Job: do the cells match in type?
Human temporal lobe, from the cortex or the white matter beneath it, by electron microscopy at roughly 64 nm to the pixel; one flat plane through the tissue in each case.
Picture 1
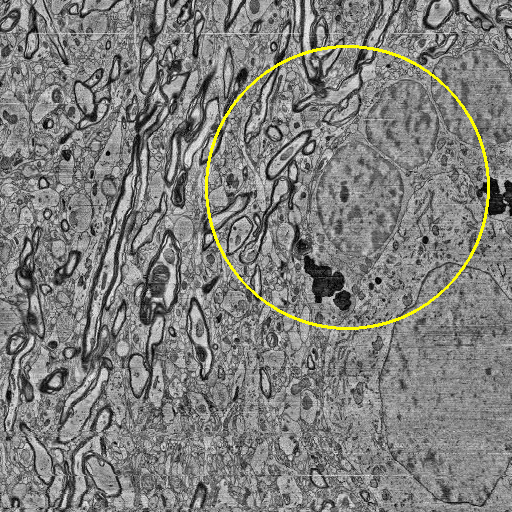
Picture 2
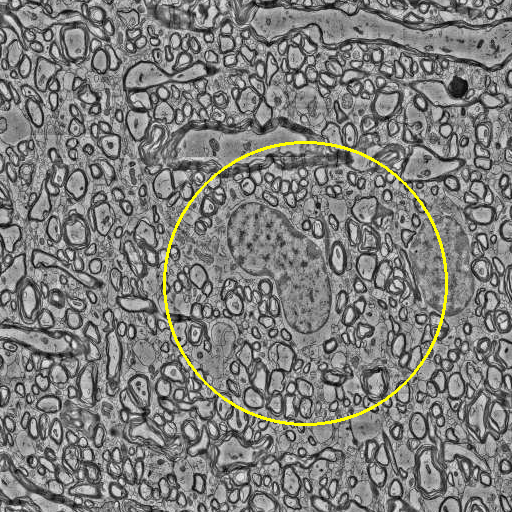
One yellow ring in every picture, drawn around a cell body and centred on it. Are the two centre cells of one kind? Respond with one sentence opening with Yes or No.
No, the ringed cells in the two pictures are of two separate kinds.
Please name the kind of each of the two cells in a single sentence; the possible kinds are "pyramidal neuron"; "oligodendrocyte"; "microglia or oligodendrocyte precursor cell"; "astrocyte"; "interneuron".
In the first picture the ring is centred on an oligodendrocyte, and in the second on a microglial cell or oligodendrocyte precursor cell.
